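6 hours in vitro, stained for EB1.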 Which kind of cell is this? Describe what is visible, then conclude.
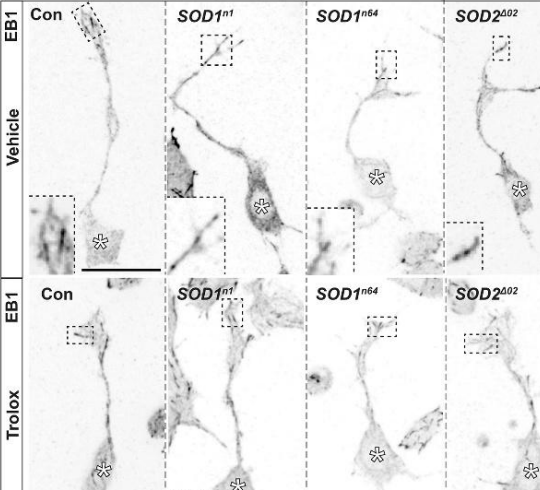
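Primary neurons. Isolated cells each with a small rounded body. Long thin processes extend from the cell bodies.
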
